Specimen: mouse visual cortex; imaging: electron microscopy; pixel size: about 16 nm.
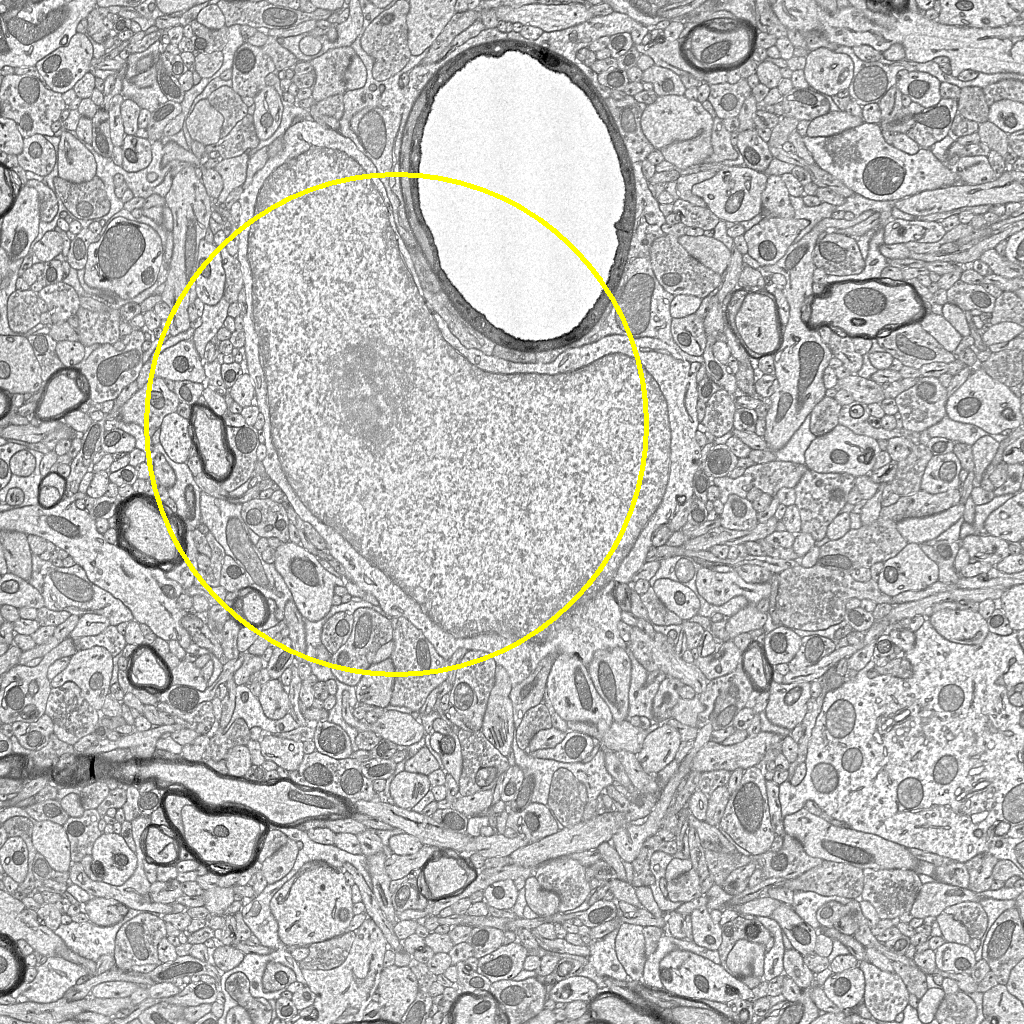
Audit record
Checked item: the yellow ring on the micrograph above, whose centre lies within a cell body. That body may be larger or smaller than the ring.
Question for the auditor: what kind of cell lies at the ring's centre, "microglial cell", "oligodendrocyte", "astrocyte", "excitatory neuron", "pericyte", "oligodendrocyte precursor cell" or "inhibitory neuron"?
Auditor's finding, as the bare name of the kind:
oligodendrocyte precursor cell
